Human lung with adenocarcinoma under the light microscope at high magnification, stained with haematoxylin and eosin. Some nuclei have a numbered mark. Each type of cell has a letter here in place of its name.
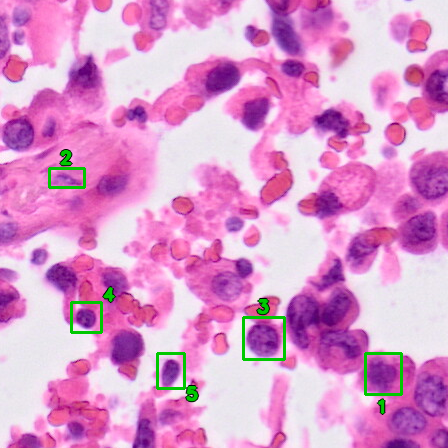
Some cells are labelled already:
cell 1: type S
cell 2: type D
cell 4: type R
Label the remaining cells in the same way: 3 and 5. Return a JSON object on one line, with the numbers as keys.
{"3": "type S", "5": "type R"}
